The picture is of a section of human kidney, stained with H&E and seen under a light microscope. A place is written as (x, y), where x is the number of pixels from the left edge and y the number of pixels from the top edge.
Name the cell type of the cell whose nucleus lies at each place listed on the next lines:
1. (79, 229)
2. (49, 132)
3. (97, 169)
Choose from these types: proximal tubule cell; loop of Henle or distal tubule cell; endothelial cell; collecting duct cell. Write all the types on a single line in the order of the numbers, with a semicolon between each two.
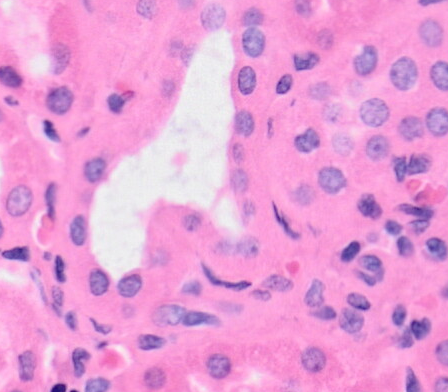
loop of Henle or distal tubule cell; endothelial cell; loop of Henle or distal tubule cell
